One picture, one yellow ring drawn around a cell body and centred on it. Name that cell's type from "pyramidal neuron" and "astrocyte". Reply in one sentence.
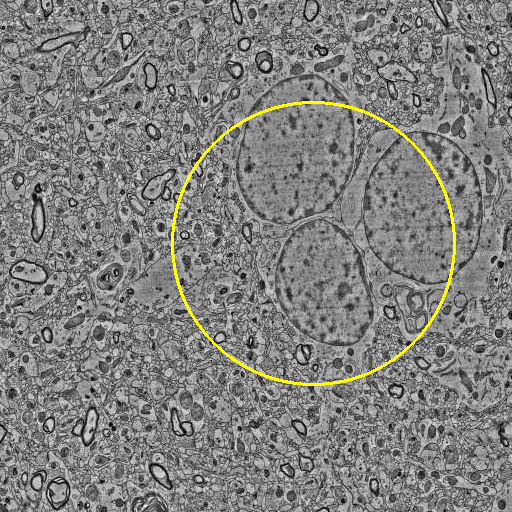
Centred in the ring is an astrocyte.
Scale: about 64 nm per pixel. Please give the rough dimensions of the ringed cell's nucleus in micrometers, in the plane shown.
The nucleus comes to roughly 8 by 6 micrometres in this plane.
